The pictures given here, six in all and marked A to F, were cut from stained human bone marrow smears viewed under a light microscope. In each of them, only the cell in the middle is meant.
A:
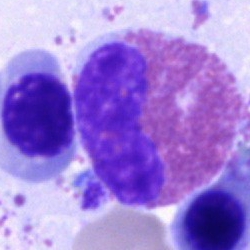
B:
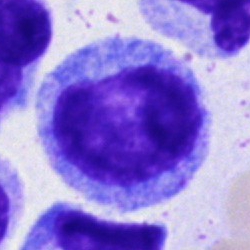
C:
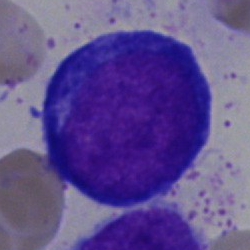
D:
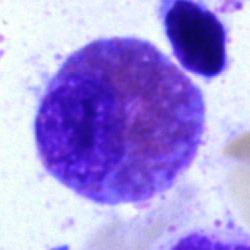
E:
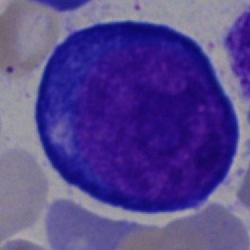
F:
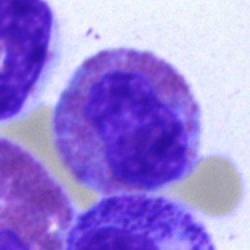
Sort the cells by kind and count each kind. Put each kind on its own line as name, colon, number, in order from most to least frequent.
eosinophil: 3
proerythroblast: 2
promyelocyte: 1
